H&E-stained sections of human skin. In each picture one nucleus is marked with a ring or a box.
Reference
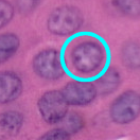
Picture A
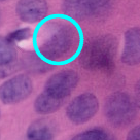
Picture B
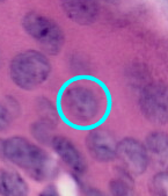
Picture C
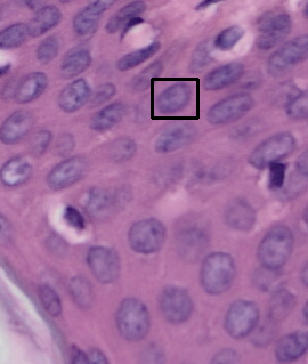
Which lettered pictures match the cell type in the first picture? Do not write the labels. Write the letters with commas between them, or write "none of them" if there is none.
A, B, C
